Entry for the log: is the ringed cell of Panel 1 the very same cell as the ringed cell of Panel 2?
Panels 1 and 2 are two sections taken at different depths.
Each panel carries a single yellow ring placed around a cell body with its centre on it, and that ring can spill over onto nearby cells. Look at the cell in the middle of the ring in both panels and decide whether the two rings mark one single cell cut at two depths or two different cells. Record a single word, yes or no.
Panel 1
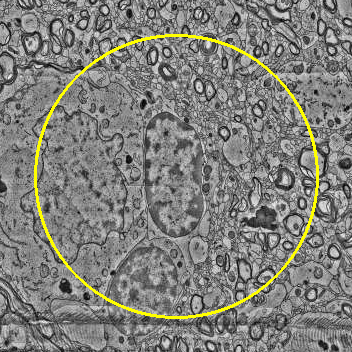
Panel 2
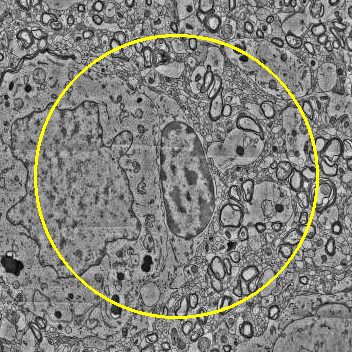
yes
